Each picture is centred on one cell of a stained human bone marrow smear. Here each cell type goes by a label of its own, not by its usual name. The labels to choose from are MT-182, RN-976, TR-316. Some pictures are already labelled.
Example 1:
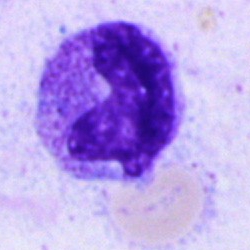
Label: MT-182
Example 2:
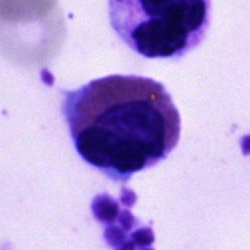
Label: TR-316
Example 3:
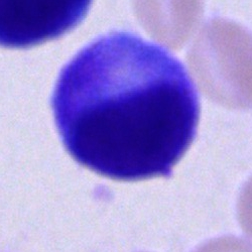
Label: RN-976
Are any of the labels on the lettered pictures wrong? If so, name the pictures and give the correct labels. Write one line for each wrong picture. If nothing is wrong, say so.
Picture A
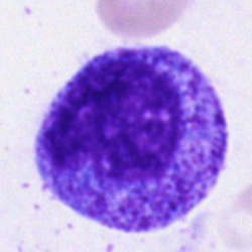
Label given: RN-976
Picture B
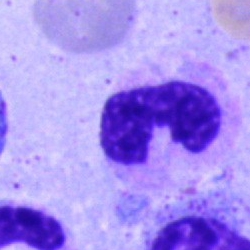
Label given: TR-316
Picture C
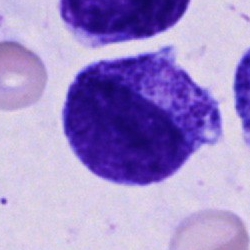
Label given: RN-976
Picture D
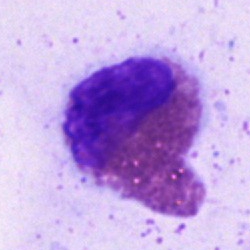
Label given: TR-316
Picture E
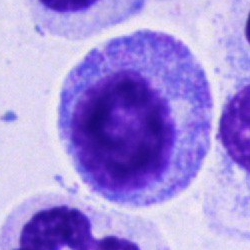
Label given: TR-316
Wrong: B (TR-316); correct: MT-182
Wrong: E (TR-316); correct: RN-976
